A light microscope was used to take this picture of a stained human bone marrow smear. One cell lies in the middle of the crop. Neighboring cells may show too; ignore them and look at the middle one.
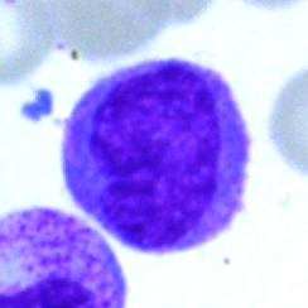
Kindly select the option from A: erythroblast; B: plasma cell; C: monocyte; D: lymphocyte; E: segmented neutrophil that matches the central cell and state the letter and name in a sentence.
The correct choice is option C, which identifies the middle cell as a monocyte.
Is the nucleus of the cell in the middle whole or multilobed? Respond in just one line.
Just one compact nuclear mass here, round, oval or kidney-shaped.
